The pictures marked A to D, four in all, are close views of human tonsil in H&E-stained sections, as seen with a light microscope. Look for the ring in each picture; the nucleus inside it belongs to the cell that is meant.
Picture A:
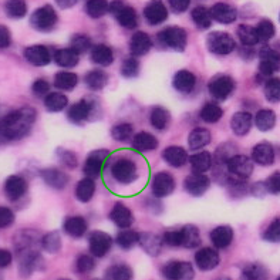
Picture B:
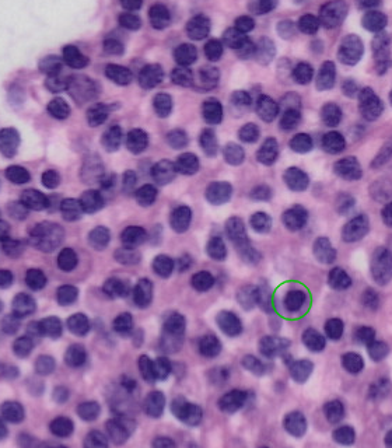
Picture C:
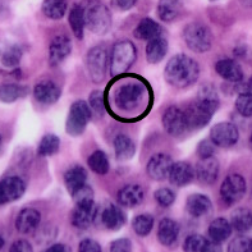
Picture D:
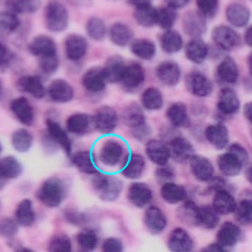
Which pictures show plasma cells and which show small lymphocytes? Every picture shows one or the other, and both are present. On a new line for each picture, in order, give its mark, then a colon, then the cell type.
A: small lymphocyte
B: plasma cell
C: plasma cell
D: small lymphocyte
